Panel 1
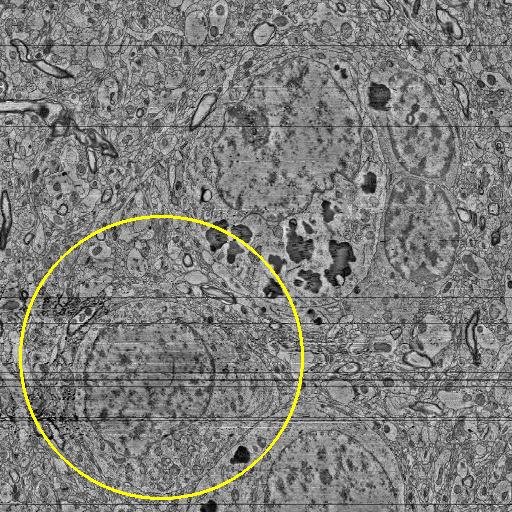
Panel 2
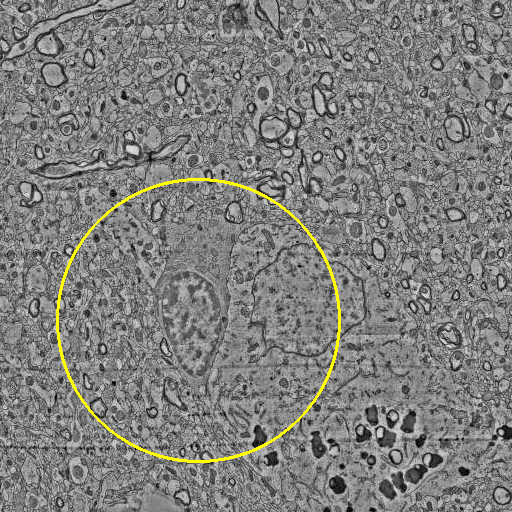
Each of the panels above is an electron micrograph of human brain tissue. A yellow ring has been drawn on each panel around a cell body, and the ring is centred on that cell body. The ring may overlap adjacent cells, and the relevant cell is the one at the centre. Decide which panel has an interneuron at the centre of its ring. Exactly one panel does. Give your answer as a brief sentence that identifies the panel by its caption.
Panel 1 is the one with it at the centre of the ring.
